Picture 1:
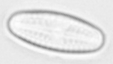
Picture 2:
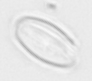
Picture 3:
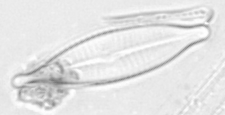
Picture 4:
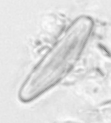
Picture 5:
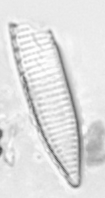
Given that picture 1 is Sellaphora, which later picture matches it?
2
